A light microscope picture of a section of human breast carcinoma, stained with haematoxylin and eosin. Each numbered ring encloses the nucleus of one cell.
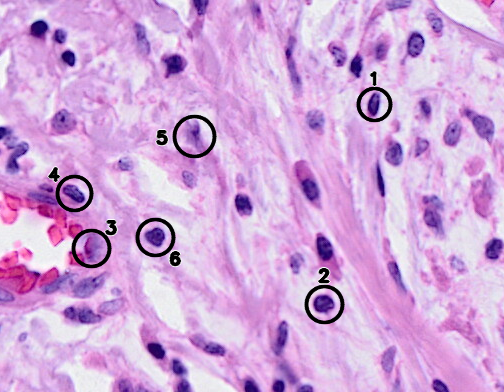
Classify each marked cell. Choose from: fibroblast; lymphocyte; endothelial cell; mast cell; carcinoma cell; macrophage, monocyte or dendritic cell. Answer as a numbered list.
1. lymphocyte
2. lymphocyte
3. endothelial cell
4. lymphocyte
5. fibroblast
6. lymphocyte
